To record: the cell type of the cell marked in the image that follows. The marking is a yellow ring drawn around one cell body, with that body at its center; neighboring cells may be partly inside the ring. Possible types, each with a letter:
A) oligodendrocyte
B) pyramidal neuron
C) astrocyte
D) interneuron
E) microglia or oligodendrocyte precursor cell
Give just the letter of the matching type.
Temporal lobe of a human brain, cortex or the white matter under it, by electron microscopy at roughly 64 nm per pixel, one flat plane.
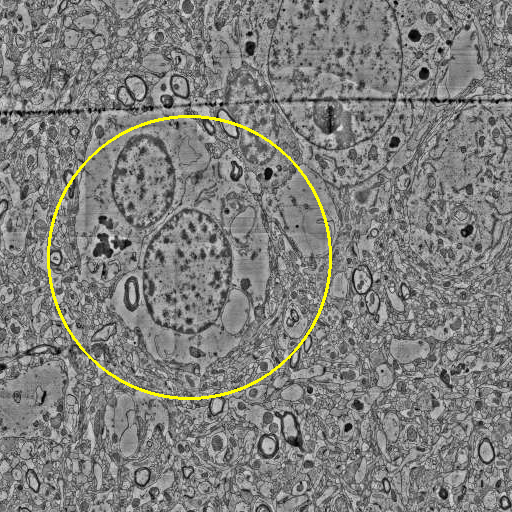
C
